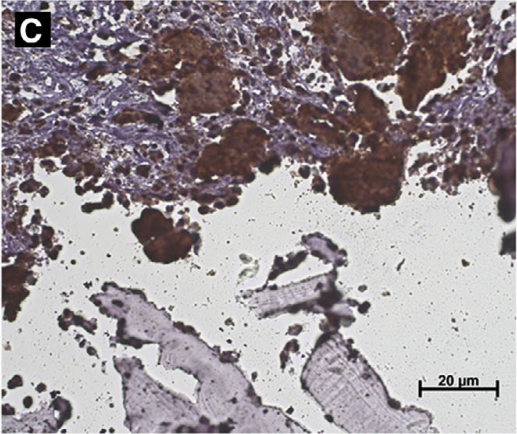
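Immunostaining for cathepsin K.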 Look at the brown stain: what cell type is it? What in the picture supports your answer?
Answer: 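Multinucleated giant cells. Large rounded cell bodies are filled with dense brown granular stain. These brown cells are much larger than the surrounding blue-stained small cells.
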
